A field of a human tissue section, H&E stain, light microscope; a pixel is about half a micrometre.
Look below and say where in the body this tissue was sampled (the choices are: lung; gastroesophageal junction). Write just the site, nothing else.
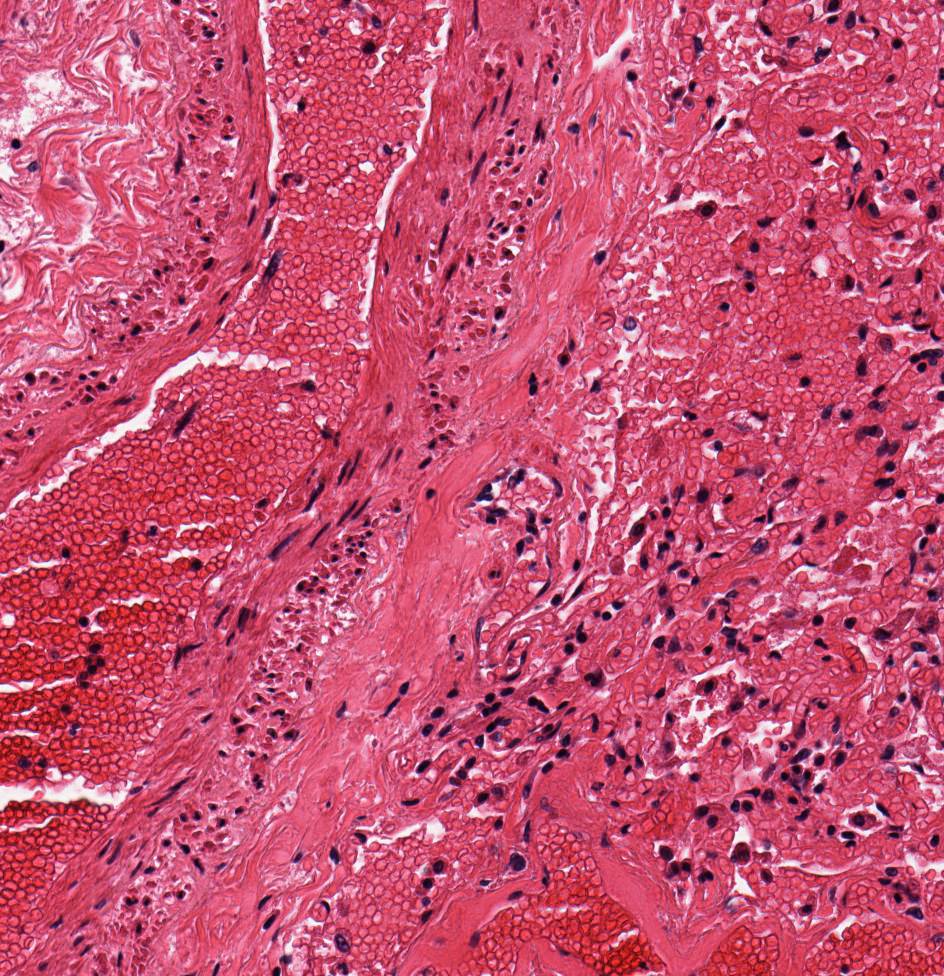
lung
